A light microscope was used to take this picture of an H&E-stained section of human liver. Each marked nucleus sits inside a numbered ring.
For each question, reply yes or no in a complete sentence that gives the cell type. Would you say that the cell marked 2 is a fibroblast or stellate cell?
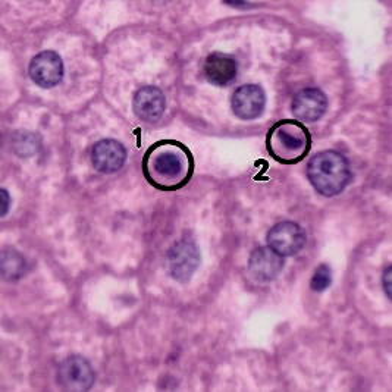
Yes, the numbered nucleus 2 is that of a fibroblast or stellate cell.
